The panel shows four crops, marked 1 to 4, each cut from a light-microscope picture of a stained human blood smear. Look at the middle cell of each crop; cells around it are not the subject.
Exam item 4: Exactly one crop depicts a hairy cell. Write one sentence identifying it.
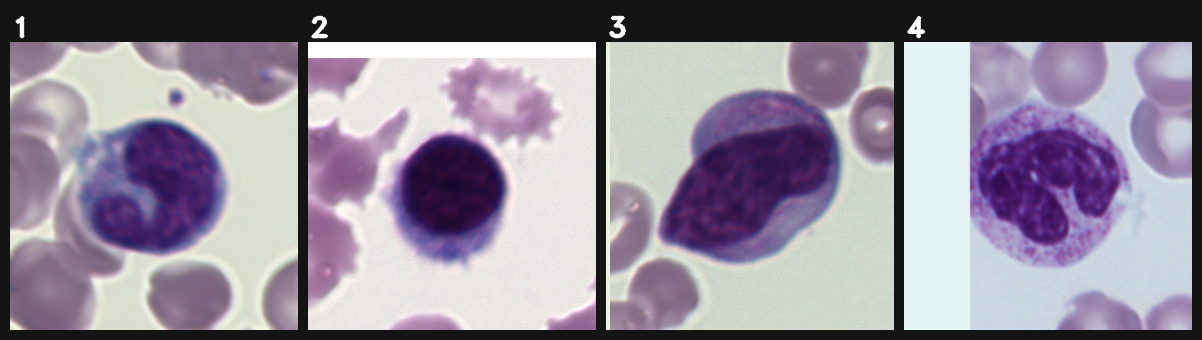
Crop 2 is identified as the crop showing a hairy cell.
